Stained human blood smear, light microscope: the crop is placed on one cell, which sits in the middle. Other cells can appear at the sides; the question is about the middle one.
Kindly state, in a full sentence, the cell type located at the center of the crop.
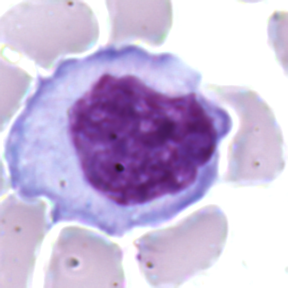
The central cell shown in this smear crop is a plasma cell.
